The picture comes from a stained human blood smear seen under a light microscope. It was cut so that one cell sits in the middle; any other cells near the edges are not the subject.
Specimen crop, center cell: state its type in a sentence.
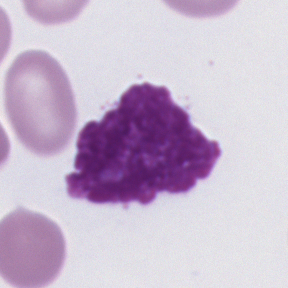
In the crop, the cell of interest at the centre is a smudge cell.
